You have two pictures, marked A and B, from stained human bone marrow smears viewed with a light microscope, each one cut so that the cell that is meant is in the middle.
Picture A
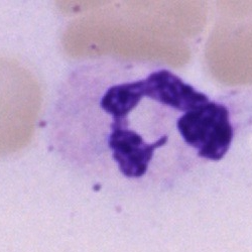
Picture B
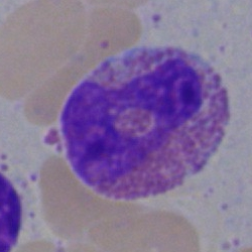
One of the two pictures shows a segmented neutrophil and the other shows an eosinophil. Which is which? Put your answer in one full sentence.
It is picture A that shows a segmented neutrophil, and picture B that shows an eosinophil.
